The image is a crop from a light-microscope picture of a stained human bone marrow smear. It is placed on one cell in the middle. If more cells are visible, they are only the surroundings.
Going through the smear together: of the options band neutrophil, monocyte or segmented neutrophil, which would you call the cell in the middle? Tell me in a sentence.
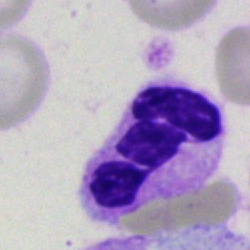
The cell of interest, located centrally, is a segmented neutrophil.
